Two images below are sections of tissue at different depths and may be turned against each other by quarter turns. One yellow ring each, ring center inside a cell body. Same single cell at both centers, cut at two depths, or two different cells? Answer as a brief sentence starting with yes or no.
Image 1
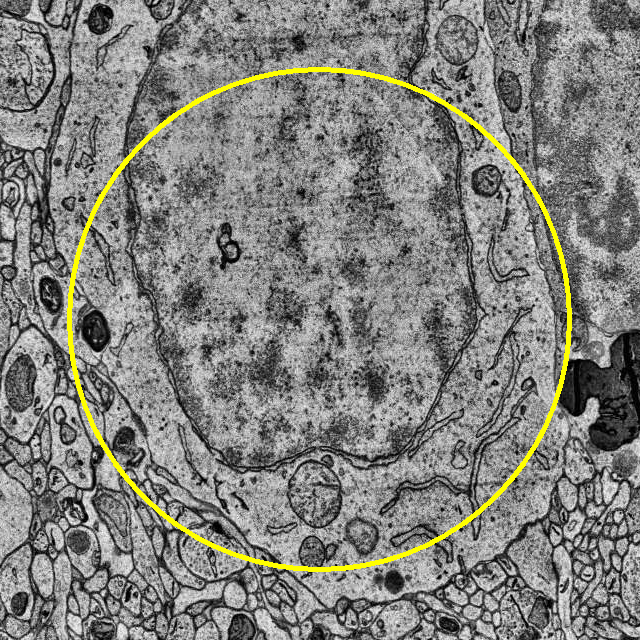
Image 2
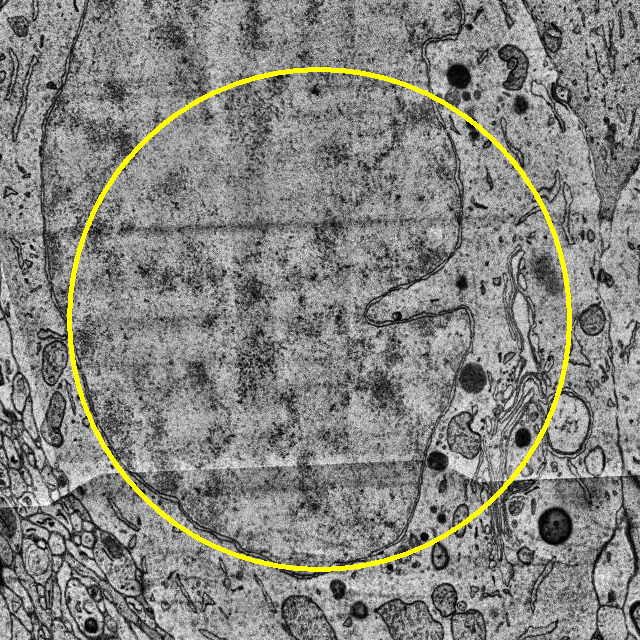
Yes, both rings identify a single, shared cell.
